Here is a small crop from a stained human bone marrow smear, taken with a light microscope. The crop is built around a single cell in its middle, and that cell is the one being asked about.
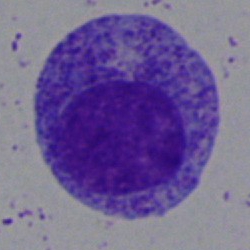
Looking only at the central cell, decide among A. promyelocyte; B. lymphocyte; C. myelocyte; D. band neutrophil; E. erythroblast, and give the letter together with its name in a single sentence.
Option C is the right one, for the cell in the middle is a myelocyte.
